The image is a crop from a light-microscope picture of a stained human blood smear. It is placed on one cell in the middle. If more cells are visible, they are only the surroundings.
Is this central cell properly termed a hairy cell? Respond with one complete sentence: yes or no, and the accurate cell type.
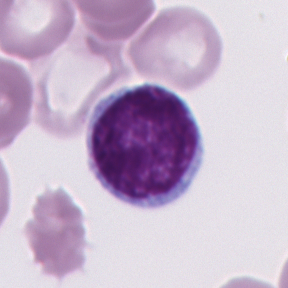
No, the centrally placed cell is a typical lymphocyte, not a hairy cell.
